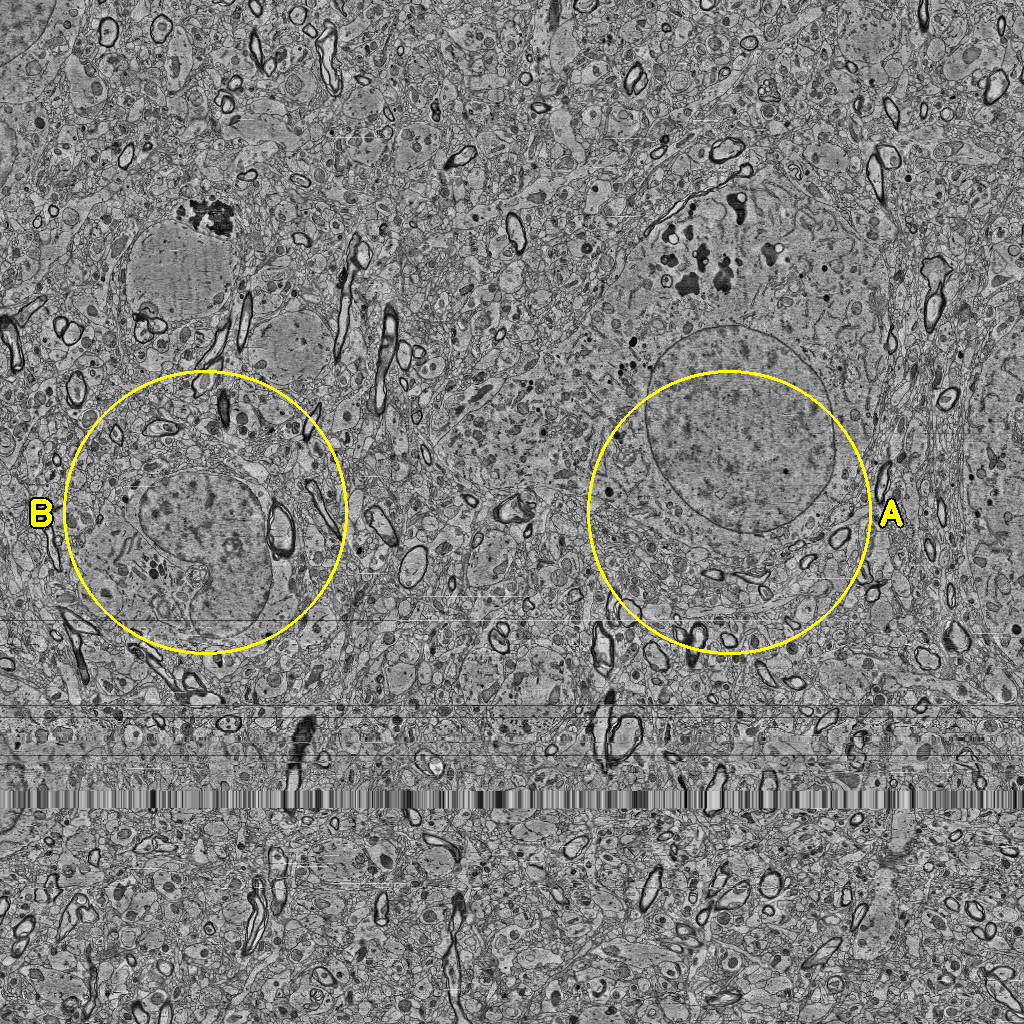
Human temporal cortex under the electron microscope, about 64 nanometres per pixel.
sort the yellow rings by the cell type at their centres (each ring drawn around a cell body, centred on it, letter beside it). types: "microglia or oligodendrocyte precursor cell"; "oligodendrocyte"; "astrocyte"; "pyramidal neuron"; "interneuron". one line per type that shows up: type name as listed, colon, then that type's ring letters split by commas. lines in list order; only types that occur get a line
microglia or oligodendrocyte precursor cell: B
pyramidal neuron: A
